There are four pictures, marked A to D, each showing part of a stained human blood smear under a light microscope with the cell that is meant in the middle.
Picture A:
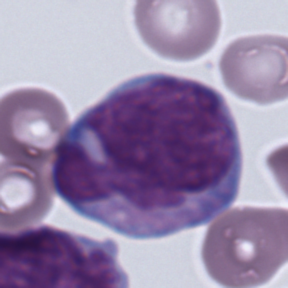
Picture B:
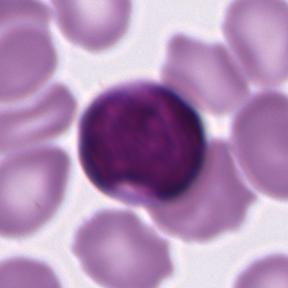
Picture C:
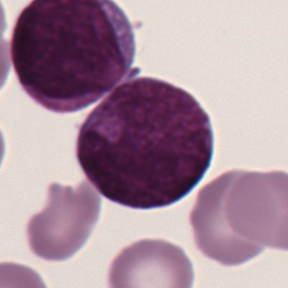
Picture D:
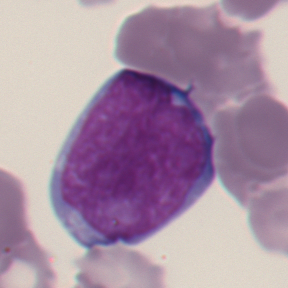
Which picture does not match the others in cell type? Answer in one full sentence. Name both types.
The different one is picture A; it shows an atypical promyelocyte, whereas all the others show myeloblasts.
